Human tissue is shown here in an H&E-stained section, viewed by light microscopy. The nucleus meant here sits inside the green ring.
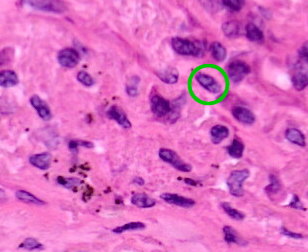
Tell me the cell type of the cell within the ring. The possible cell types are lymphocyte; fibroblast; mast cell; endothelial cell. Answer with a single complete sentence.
The cell meant here is a mast cell.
